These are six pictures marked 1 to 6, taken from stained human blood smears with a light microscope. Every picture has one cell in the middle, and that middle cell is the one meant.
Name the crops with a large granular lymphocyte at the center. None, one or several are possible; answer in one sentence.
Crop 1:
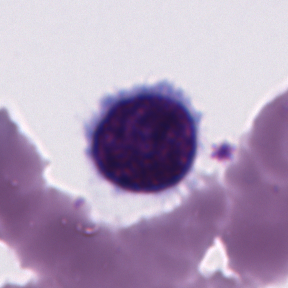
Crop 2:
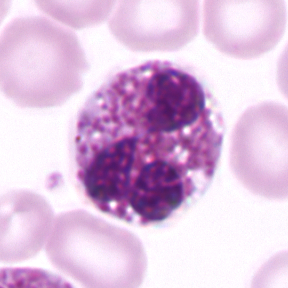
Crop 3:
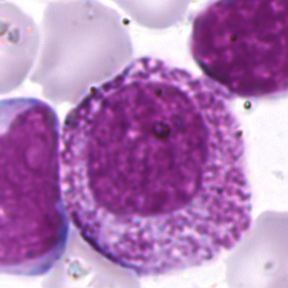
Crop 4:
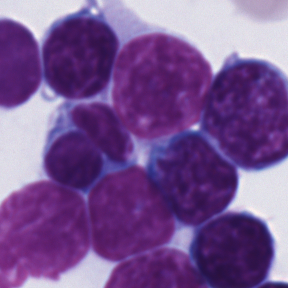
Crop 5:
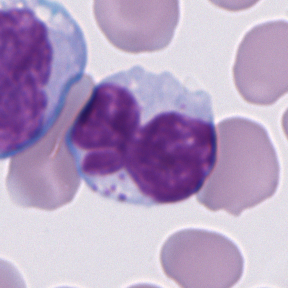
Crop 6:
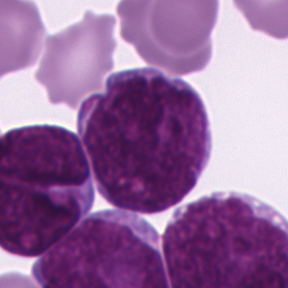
None of the crops show a large granular lymphocyte apart from crop 5.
